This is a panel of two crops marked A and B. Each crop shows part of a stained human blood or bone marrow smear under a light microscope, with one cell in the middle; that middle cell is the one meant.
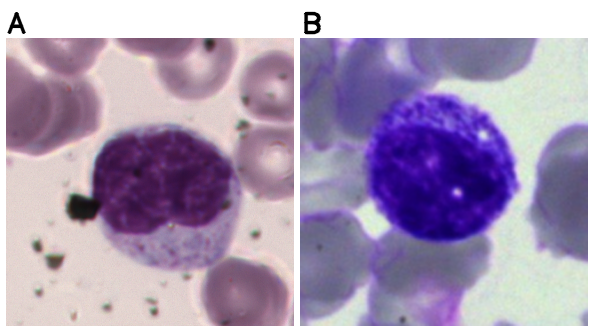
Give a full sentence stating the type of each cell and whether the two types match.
No, crop A is home to a metamyelocyte, and crop B to a myelocyte.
